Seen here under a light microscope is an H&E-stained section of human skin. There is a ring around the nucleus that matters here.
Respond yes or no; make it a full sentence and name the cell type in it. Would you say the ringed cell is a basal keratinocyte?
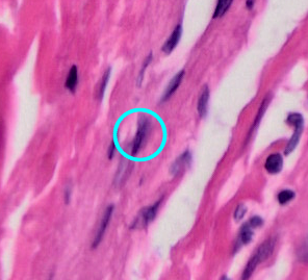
No, the ringed cell is simply an endothelial cell rather than a basal keratinocyte.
